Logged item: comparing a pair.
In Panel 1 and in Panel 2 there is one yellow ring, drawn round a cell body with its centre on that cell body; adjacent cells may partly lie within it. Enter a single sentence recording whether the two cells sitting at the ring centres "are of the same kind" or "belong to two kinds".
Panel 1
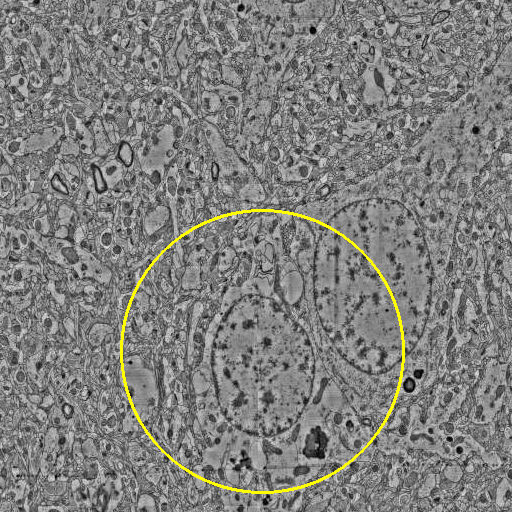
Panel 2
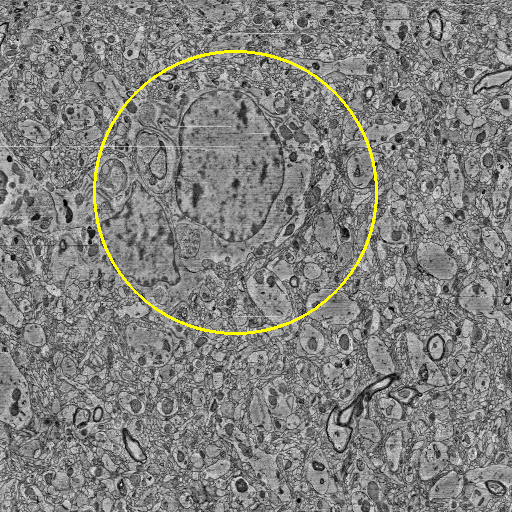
Logged: the cells centred in the rings of Panel 1 and Panel 2 are of the same kind.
